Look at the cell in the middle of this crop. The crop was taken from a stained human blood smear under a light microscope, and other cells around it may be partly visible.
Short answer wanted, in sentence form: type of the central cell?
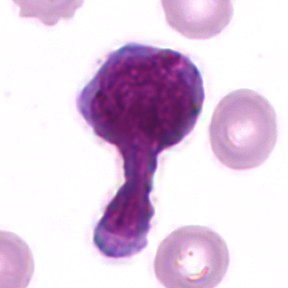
The centrally located cell in the crop is an atypical promyelocyte.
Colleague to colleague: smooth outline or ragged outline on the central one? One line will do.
Because its outline is ragged or drawn out into projections, the cell lacks a smooth border.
